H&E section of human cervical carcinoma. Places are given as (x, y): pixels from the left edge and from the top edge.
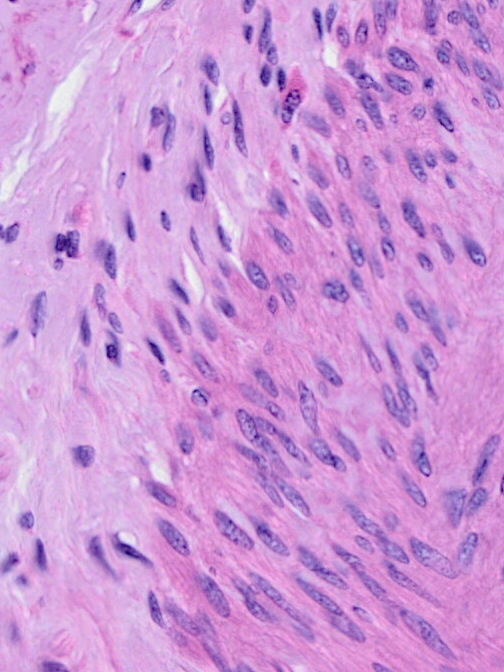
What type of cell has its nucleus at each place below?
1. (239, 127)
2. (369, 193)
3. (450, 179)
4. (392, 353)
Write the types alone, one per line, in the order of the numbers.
fibroblast
smooth muscle cell
smooth muscle cell
smooth muscle cell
